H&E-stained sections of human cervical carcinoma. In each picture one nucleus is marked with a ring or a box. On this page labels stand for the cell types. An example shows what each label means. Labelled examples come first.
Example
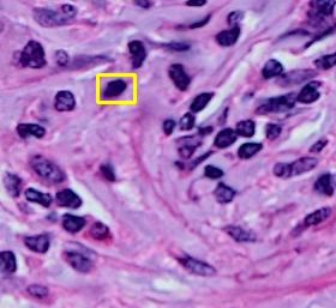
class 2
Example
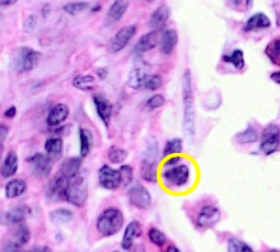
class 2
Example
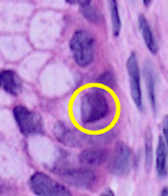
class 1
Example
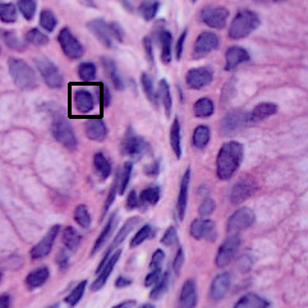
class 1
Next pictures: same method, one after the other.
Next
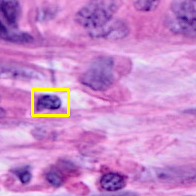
class 2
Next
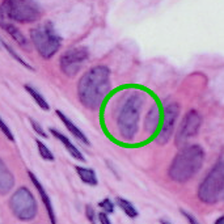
class 1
